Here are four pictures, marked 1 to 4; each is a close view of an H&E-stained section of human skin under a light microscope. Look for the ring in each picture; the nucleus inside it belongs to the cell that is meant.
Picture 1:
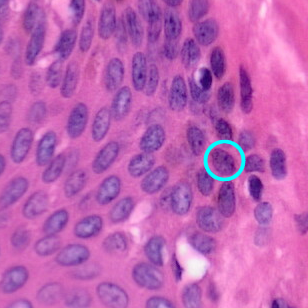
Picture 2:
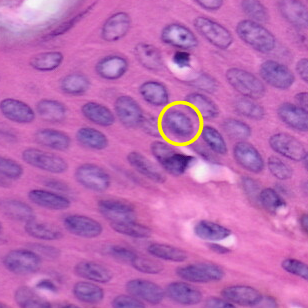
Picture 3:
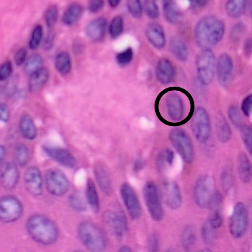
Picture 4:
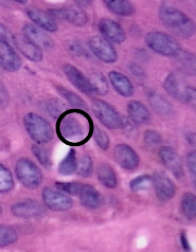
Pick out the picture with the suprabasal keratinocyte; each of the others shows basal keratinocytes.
2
